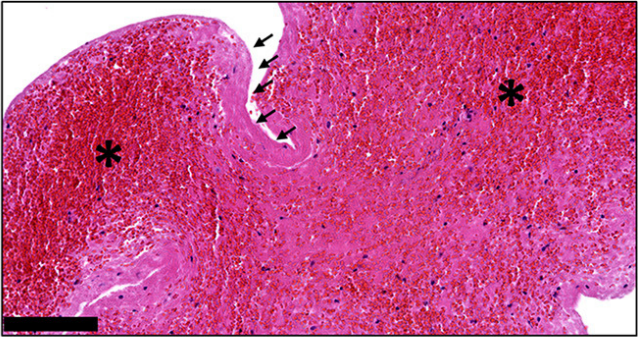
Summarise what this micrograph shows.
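The red areas are granular and less tightly packed than a uniform clot, with small gaps between the cells. The pink regions are smoother and more homogeneous, forming bands and streaks that wind between the red zones, including a band following a deep fold in the tissue surface. Small dark purple leukocyte nuclei are scattered throughout, more often within the pink regions. The tissue edge is irregular and folded rather than smooth.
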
